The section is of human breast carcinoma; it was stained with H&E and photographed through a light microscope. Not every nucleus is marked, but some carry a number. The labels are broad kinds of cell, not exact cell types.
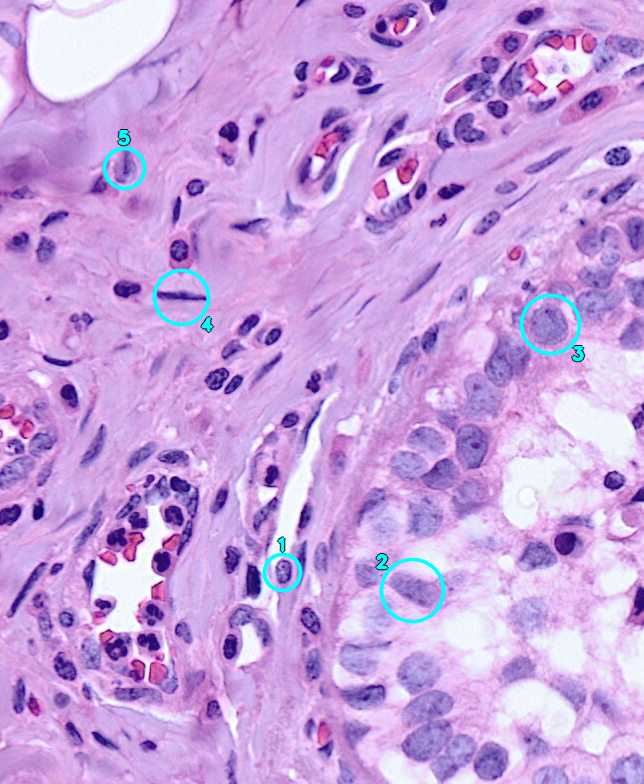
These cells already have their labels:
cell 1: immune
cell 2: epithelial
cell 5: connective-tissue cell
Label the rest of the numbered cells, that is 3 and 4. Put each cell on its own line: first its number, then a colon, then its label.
3: epithelial
4: connective-tissue cell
